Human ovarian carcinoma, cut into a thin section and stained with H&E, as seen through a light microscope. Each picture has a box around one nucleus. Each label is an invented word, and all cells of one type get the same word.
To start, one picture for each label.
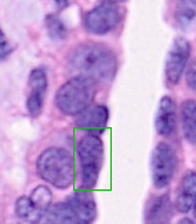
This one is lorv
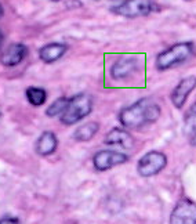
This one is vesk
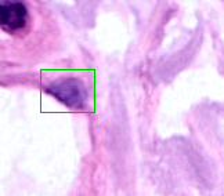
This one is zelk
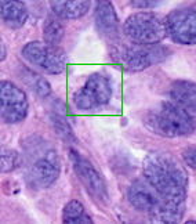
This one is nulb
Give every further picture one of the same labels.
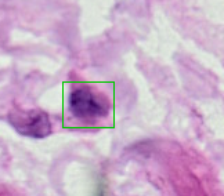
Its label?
nulb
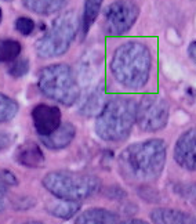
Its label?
lorv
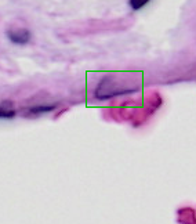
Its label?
zelk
